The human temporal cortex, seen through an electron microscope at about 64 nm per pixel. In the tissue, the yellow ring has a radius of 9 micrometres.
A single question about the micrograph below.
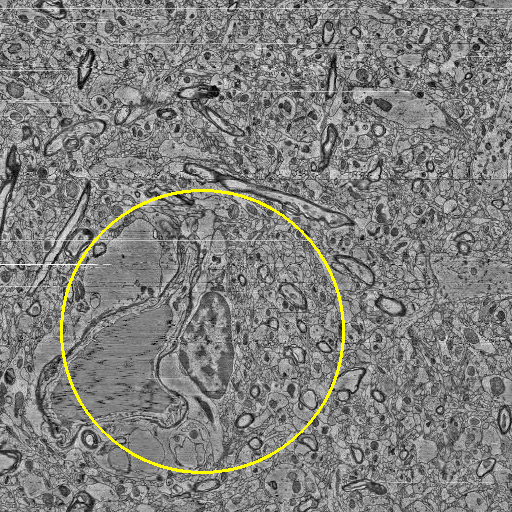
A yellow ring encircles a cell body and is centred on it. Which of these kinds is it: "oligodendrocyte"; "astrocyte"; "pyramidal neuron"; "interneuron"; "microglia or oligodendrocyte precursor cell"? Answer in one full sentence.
The cell body at the centre of the yellow ring belongs to a microglial cell or oligodendrocyte precursor cell.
